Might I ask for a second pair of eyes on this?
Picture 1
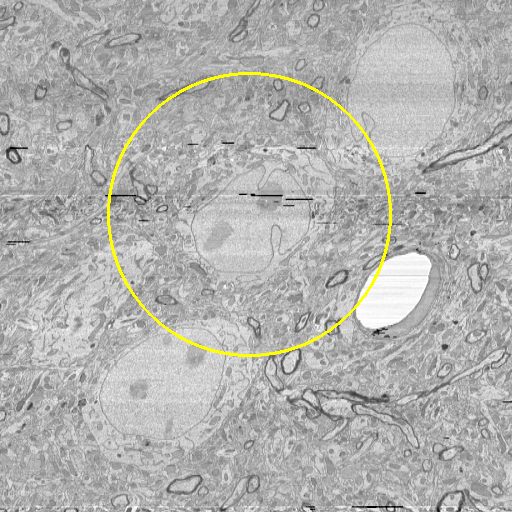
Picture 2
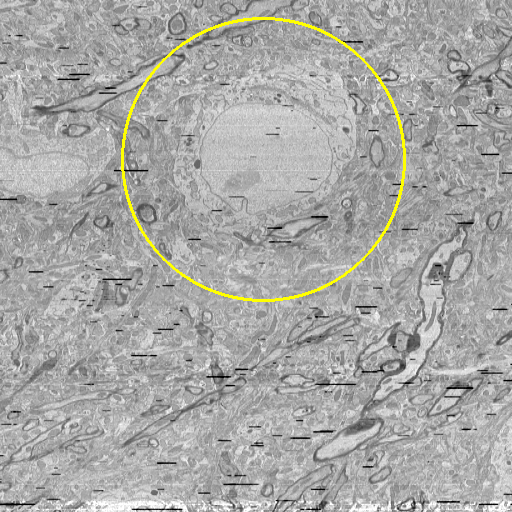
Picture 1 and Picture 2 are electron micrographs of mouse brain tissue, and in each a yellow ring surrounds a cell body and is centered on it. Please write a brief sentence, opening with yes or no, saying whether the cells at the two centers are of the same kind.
Yes, the cells are of the same kind.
